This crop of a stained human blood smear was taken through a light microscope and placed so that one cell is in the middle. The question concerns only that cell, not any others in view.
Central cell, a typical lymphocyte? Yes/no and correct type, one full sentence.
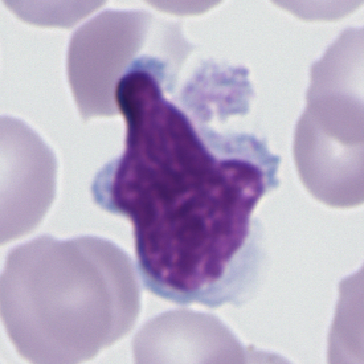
No, the centred cell is a large granular lymphocyte instead of a typical lymphocyte.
